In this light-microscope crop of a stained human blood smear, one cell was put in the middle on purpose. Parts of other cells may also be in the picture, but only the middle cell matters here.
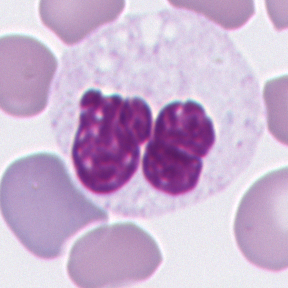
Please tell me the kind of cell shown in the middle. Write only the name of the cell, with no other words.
segmented neutrophil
